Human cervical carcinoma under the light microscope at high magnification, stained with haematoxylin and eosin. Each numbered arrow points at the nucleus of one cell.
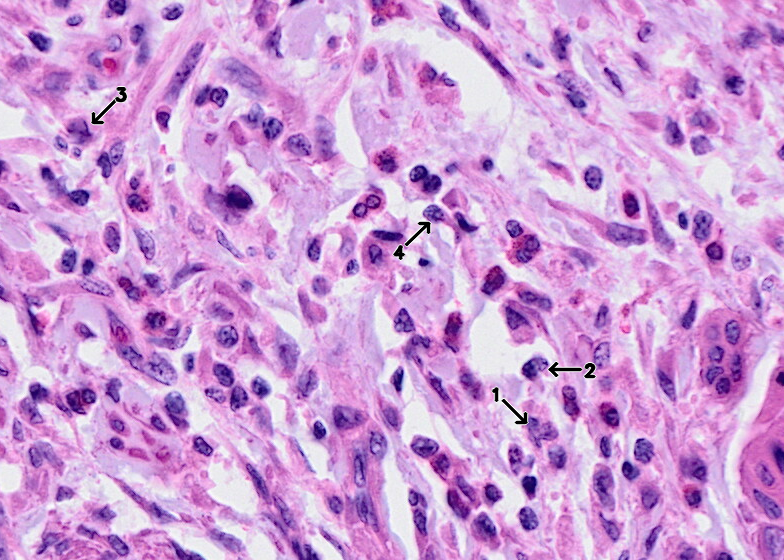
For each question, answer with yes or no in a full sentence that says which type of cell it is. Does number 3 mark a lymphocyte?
No, what is marked as number 3 is a macrophage or monocyte rather than a lymphocyte.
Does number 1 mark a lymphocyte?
No, the nucleus numbered 1 belongs to a macrophage or monocyte, not a lymphocyte.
